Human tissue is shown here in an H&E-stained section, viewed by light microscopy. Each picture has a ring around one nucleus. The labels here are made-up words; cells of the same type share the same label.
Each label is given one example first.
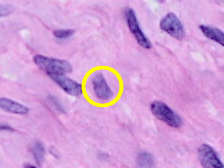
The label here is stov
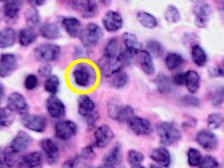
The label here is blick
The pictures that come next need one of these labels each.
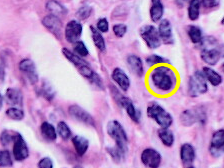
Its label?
blick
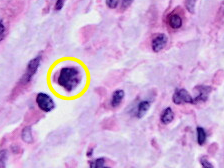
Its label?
blick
